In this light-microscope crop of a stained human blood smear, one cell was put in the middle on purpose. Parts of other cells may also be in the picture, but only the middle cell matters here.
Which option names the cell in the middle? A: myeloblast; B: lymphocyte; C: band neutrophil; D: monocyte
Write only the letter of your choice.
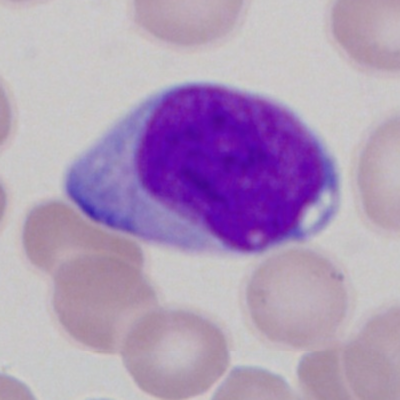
A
